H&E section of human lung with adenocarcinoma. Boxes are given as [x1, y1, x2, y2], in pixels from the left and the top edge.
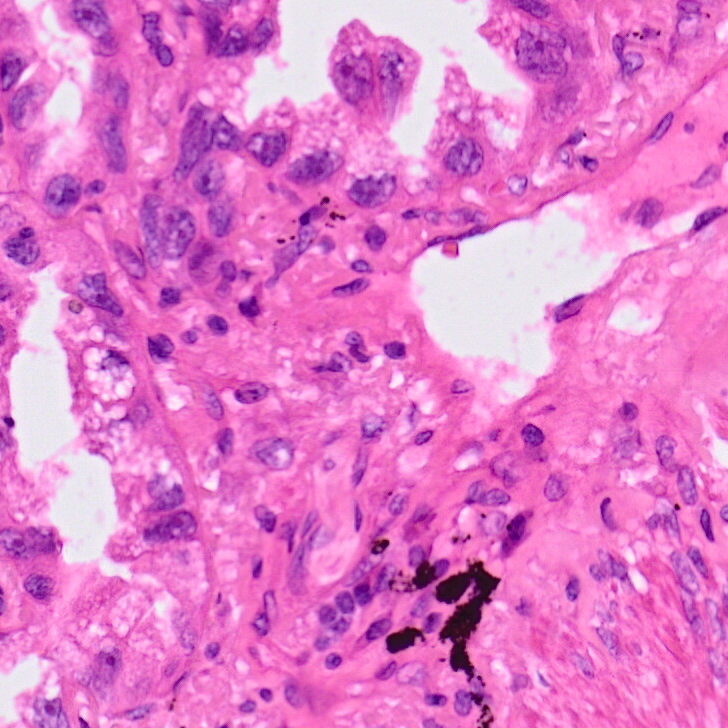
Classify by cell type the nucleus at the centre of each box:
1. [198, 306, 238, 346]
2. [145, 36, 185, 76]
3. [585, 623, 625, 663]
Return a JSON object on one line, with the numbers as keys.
{"1": "lymphocyte", "2": "mast cell", "3": "smooth muscle cell or pericyte"}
